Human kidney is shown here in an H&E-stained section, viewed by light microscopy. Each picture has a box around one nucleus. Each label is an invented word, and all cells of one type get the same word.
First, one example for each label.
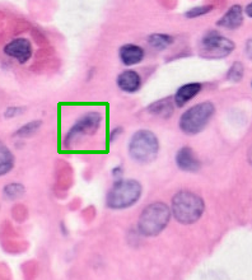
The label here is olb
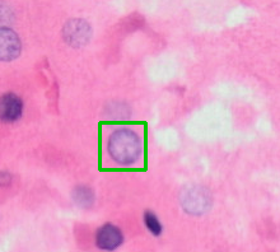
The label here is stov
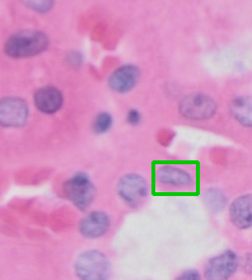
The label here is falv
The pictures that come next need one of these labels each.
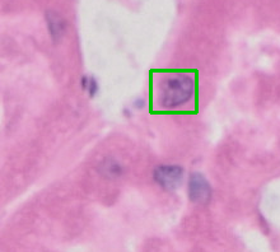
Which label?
stov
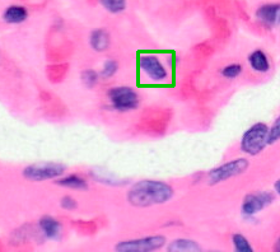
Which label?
olb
